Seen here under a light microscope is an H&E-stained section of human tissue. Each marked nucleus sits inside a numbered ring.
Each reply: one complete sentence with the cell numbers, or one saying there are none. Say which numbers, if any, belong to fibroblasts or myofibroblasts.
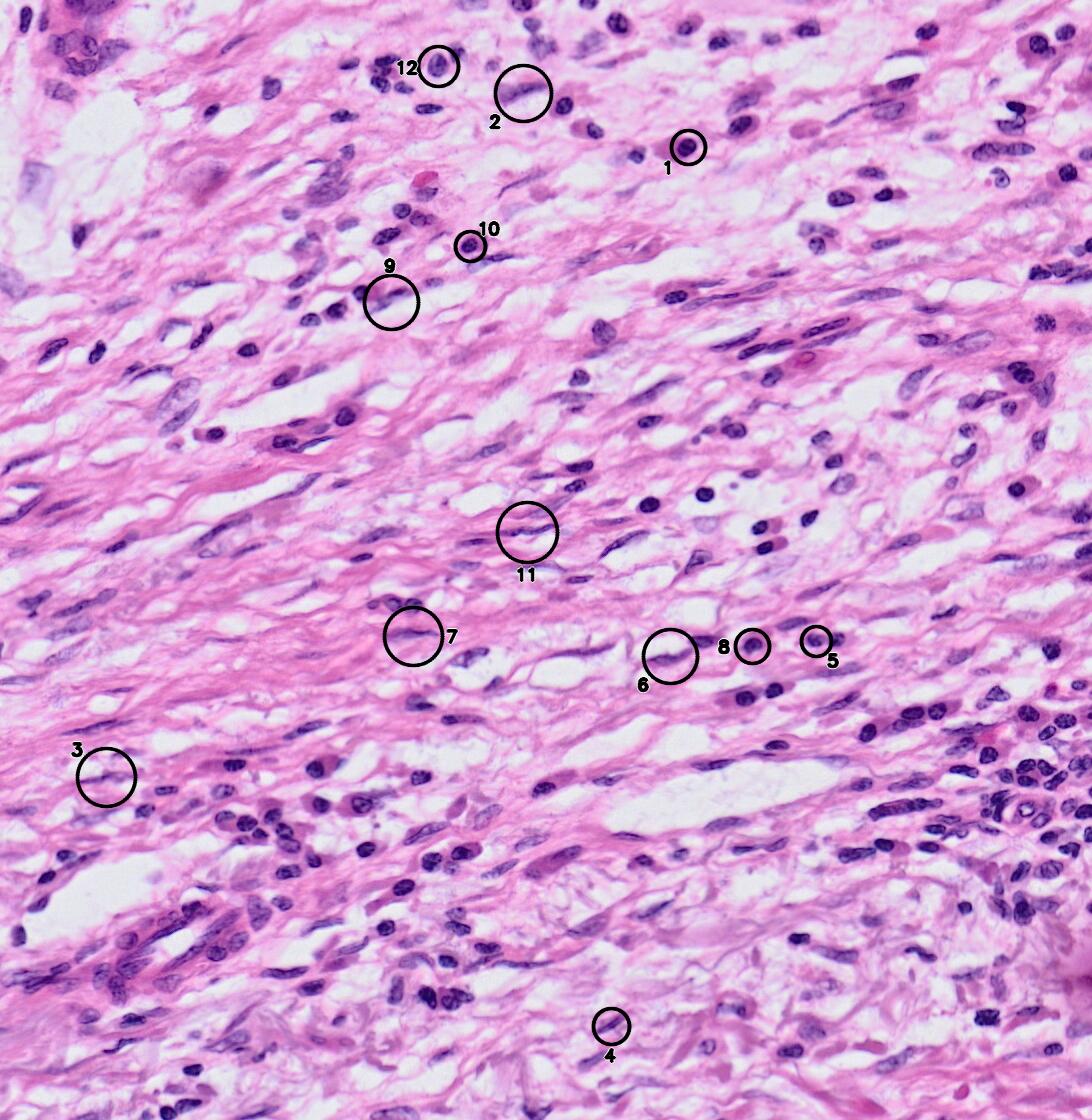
The cells carrying the numbers 2, 3, 4, 6, 7, 9 and 11 are fibroblasts or myofibroblasts.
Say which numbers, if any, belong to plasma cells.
The cells given the numbers 1, 5, 8 and 10 are plasma cells.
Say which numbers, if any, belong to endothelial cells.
In short, endothelial cells do not occur among the numbered cells.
